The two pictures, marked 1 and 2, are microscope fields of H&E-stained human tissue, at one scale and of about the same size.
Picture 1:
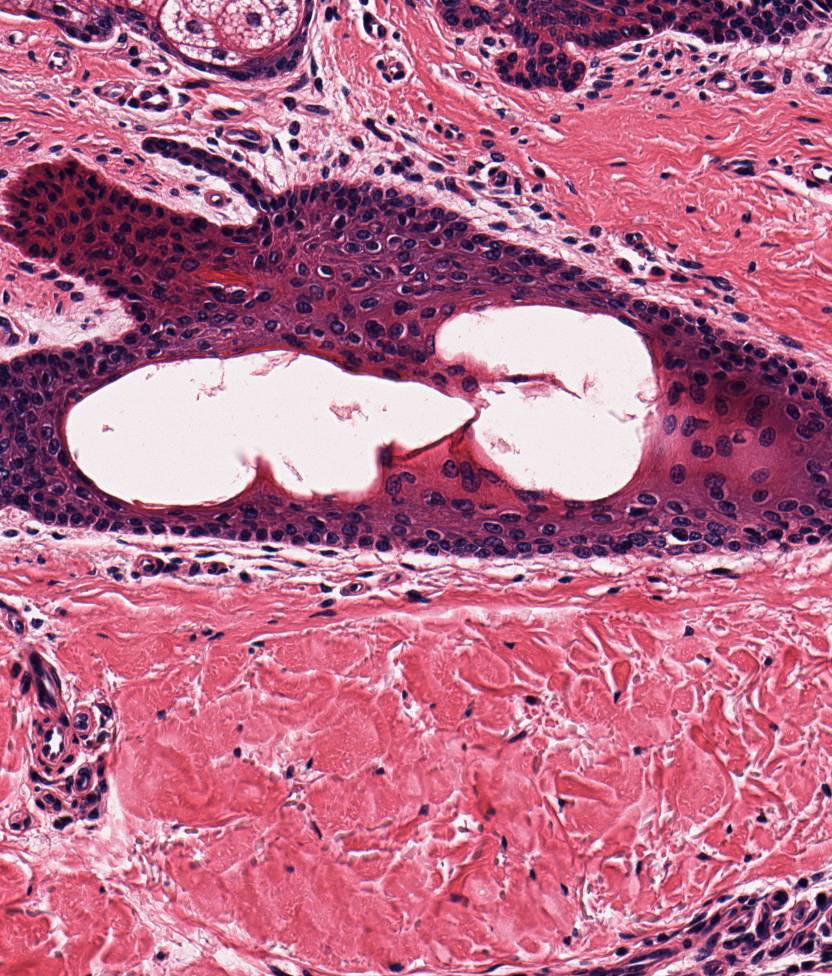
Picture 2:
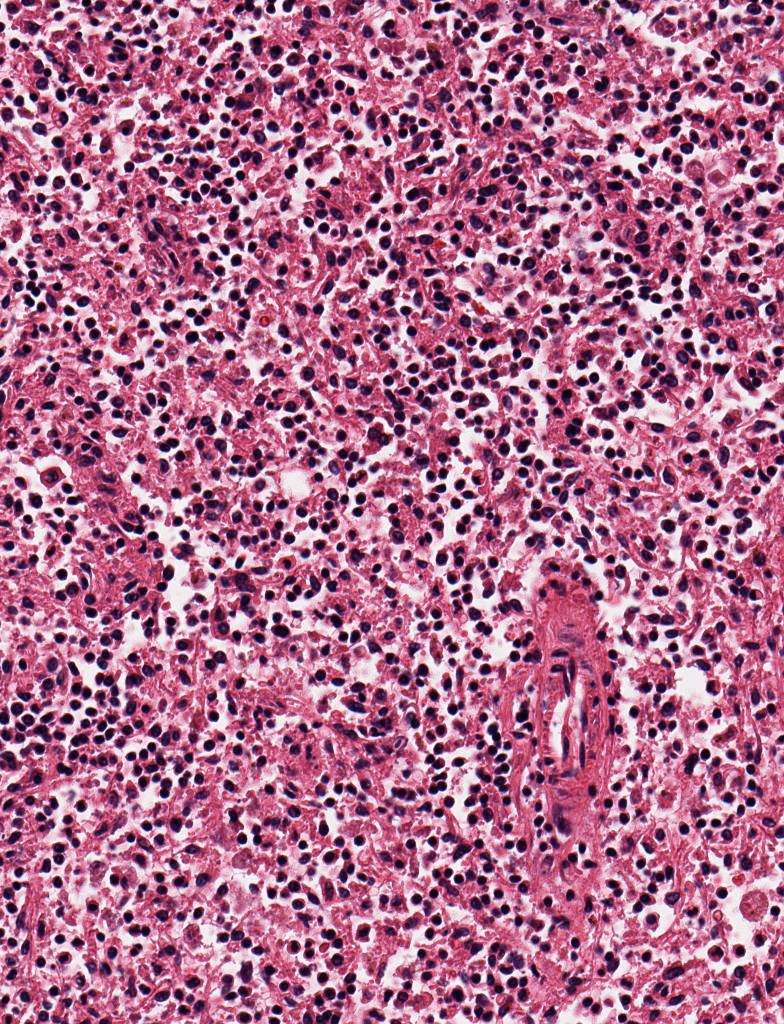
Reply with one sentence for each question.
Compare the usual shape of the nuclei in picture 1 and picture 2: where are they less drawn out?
The nuclei are rounder in picture 2.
